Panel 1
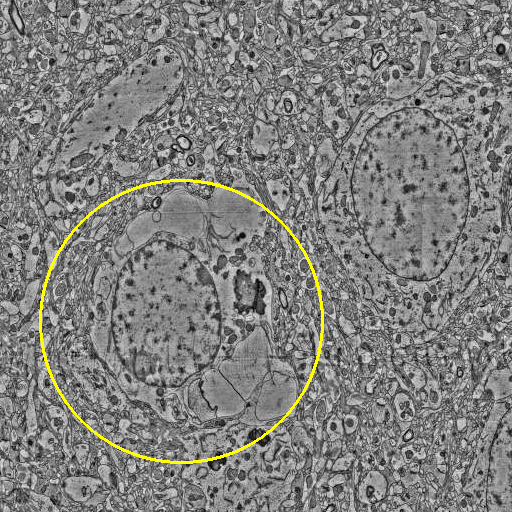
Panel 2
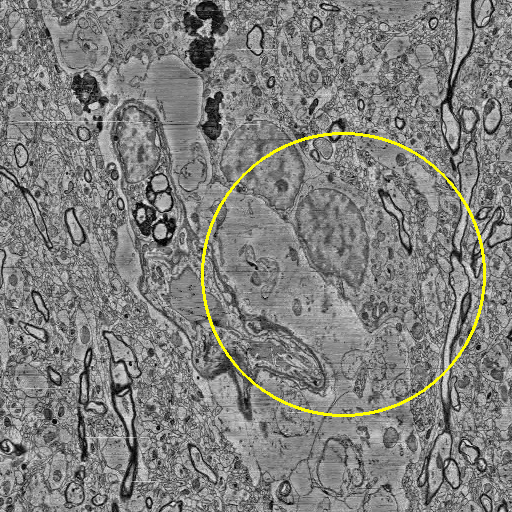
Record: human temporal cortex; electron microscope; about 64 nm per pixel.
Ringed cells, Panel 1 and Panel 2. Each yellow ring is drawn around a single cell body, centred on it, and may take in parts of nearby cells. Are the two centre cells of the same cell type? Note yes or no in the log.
no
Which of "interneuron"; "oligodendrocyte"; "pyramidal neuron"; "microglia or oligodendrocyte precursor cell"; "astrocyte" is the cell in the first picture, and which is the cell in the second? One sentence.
The two differ: the first cell is an astrocyte and the second is an oligodendrocyte.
